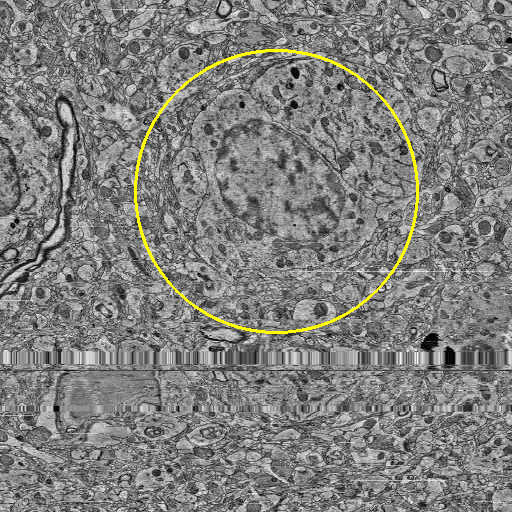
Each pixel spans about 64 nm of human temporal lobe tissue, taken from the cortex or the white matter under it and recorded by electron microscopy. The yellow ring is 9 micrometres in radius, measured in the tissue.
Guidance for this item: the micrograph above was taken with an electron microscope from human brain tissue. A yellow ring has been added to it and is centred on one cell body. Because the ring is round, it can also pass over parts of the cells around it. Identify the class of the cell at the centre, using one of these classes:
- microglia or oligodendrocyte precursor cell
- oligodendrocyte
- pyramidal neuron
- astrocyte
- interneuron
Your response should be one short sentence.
The ring surrounds the body of an interneuron.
